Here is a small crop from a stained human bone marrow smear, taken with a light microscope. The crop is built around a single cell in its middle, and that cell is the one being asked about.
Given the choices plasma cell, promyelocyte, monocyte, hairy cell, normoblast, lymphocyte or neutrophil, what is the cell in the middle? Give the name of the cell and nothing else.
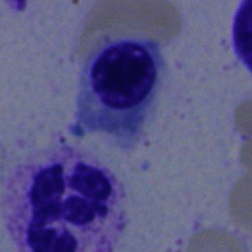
normoblast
